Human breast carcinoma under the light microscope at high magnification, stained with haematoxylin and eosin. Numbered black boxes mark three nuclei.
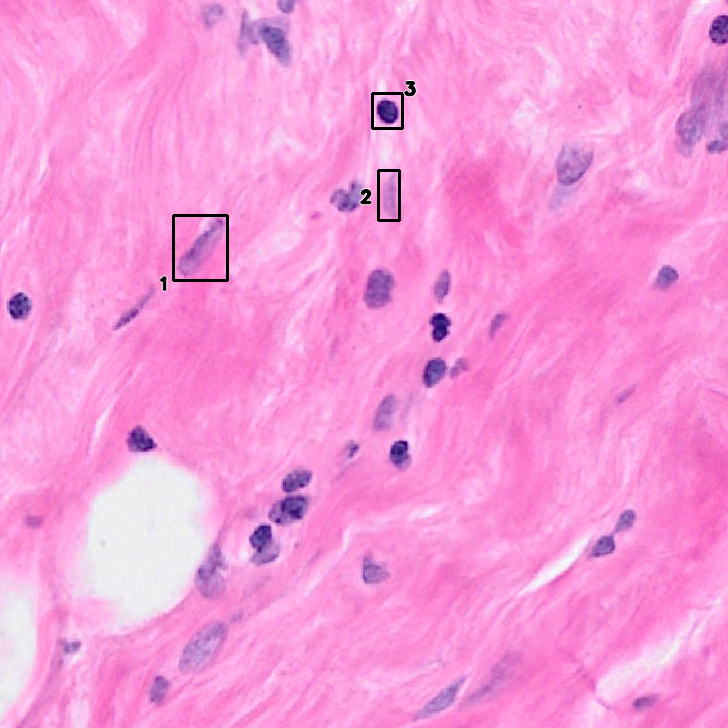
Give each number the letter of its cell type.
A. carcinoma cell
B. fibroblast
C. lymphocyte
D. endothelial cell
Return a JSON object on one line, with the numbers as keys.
{"1": "B", "2": "B", "3": "C"}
